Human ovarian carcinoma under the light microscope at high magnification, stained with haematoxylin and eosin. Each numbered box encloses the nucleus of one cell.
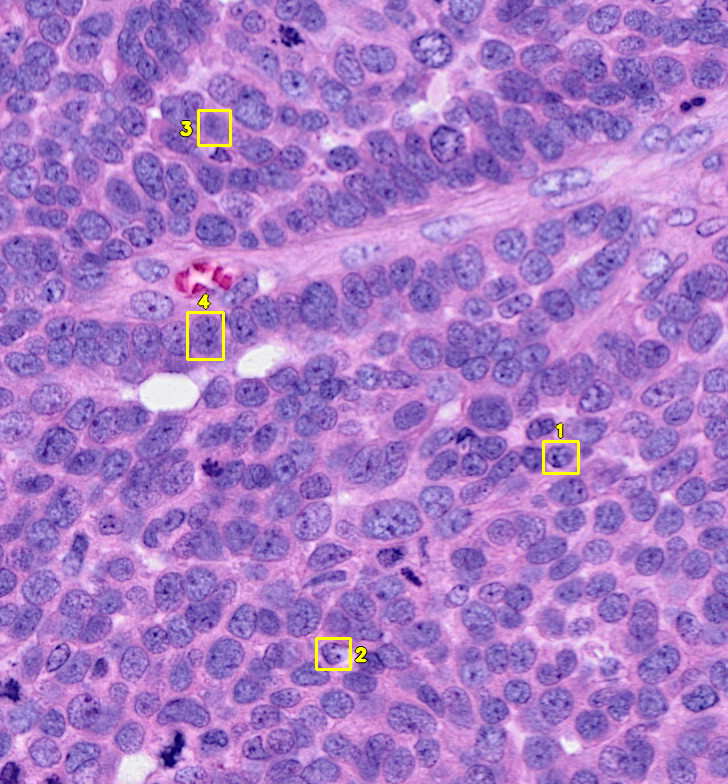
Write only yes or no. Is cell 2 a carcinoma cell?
no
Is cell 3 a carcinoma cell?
yes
